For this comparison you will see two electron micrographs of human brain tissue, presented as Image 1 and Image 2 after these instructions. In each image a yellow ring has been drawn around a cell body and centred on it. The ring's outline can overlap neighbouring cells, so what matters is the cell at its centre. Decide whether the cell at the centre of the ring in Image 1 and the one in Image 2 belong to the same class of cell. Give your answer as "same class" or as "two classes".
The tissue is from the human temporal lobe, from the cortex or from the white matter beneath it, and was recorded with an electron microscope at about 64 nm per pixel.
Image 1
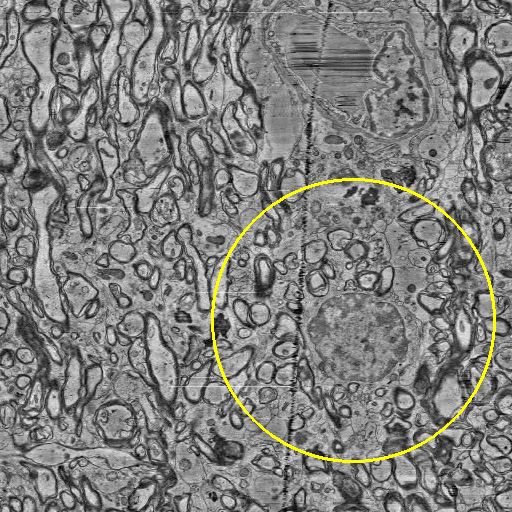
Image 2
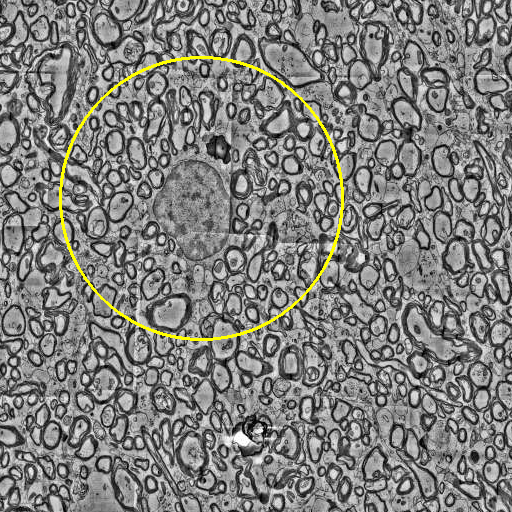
same class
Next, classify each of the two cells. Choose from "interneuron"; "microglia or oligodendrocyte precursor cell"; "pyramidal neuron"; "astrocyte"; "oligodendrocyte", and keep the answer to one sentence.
Each cell at the centre of a ring is an oligodendrocyte.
